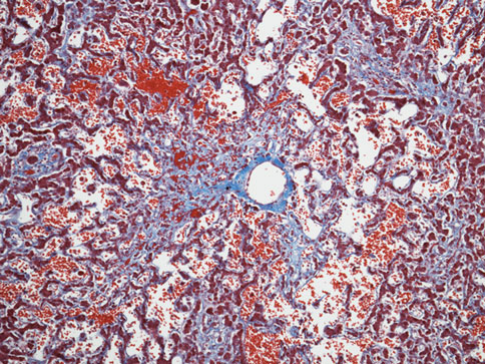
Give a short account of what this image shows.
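This is liver tissue at low magnification with a central vein in the middle of the field and the surrounding liver cell plates. The vein is a round, empty lumen rimmed by blue-staining connective tissue. From it, thin blue strands of fibrous tissue radiate outward between the plates. The liver cells stain purple-red and form thin, irregular cords. Between the cords the sinusoidal spaces are widened, and many are filled with bright red blood cells, while others appear empty and white. The normal orderly plate pattern is distorted by the widened, blood-filled spaces and the blue fibrous strands.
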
